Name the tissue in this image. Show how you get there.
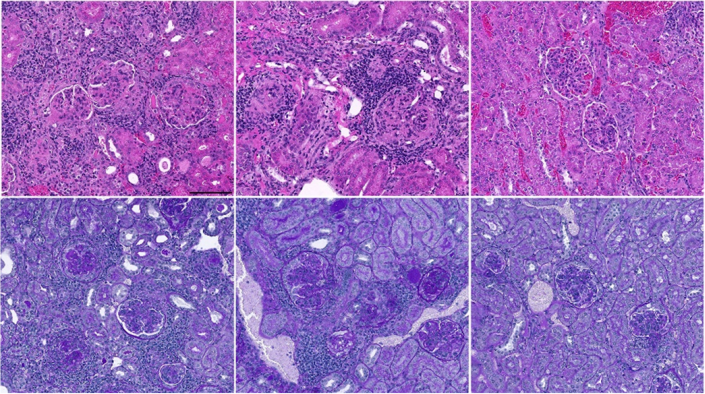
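Kidney. Round glomerular tufts are scattered through the tissue. They are surrounded by cross-sectioned tubules with pink or purple epithelium.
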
